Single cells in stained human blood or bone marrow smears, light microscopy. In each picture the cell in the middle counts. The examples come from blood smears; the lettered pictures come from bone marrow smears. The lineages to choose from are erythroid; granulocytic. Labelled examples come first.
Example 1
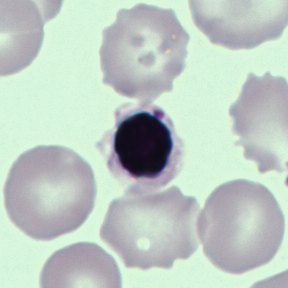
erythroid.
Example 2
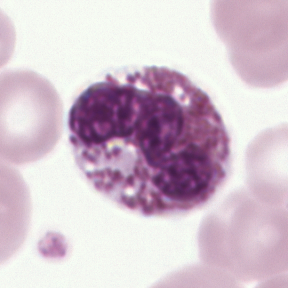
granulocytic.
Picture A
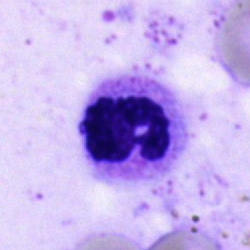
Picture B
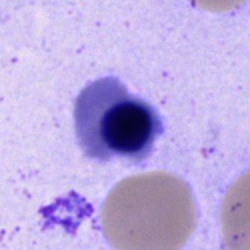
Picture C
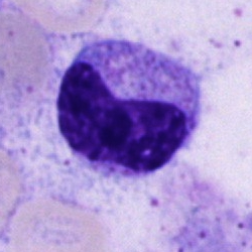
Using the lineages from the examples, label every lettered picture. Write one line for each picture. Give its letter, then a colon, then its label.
A: granulocytic.
B: erythroid.
C: granulocytic.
